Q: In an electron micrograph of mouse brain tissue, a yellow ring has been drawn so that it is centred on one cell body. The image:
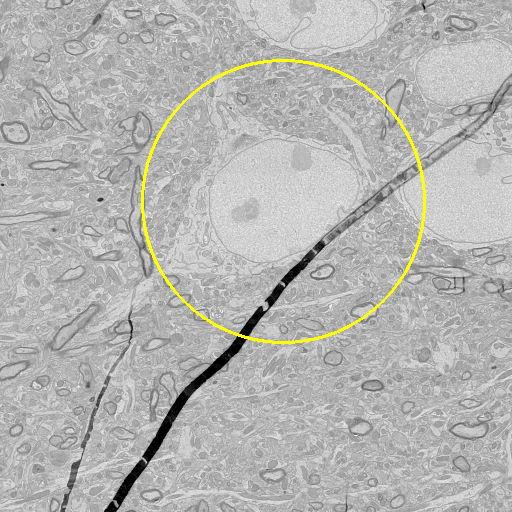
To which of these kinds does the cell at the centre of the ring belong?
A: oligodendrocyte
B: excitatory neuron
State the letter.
B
